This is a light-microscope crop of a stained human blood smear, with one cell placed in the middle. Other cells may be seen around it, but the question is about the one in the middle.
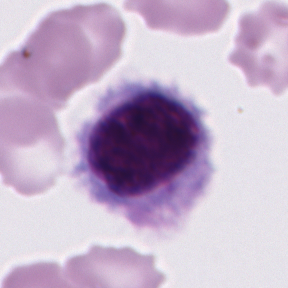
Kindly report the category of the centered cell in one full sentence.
The cell found in the middle of this crop is a hairy cell.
